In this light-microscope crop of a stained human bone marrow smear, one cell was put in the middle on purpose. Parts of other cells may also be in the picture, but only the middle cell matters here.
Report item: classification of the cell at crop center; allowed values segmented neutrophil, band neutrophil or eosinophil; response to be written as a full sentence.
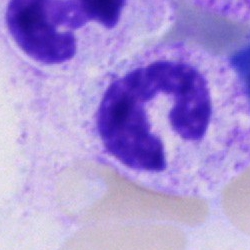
Where the crop is centred, there is a band neutrophil.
